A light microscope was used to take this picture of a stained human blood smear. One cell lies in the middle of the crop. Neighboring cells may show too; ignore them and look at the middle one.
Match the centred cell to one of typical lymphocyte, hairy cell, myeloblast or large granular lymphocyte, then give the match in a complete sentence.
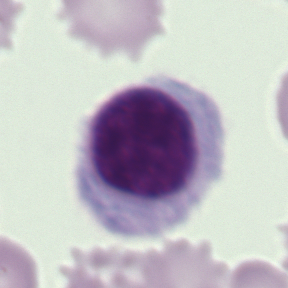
The cell of interest, located centrally, is a hairy cell.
